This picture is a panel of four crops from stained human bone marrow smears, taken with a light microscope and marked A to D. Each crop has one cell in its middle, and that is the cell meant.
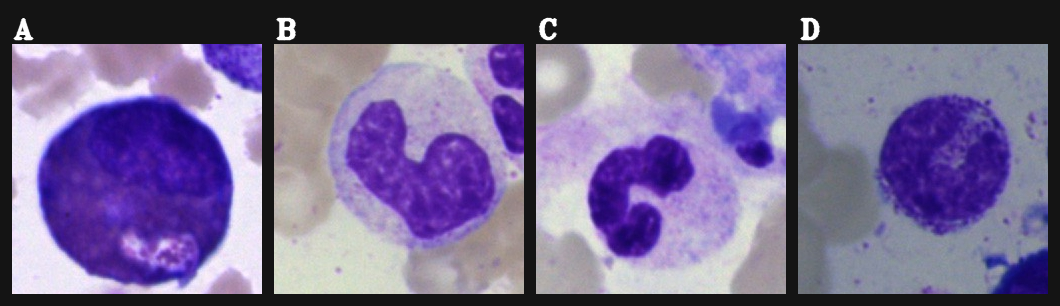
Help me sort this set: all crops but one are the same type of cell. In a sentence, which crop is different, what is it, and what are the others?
The different crop is A; it is an eosinophil, and the others all show band neutrophils.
